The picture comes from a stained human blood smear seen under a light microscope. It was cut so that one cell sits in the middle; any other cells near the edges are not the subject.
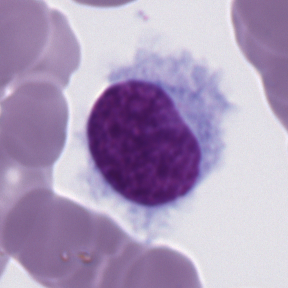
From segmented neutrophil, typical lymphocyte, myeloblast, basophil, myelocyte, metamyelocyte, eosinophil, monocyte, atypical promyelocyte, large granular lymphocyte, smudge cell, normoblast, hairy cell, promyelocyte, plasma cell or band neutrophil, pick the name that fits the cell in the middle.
hairy cell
